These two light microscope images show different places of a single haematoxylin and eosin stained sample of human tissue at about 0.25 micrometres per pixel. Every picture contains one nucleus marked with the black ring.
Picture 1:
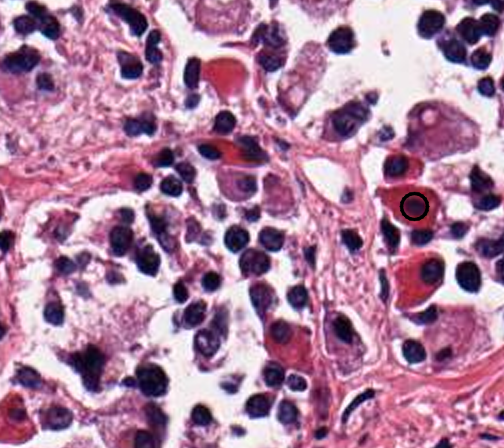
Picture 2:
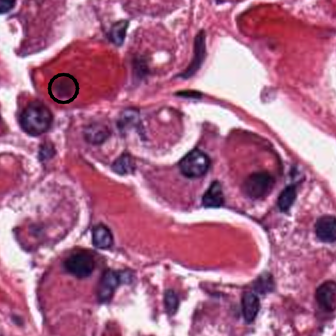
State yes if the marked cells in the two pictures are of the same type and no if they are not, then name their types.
Yes, both are anterior pituitary cells.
